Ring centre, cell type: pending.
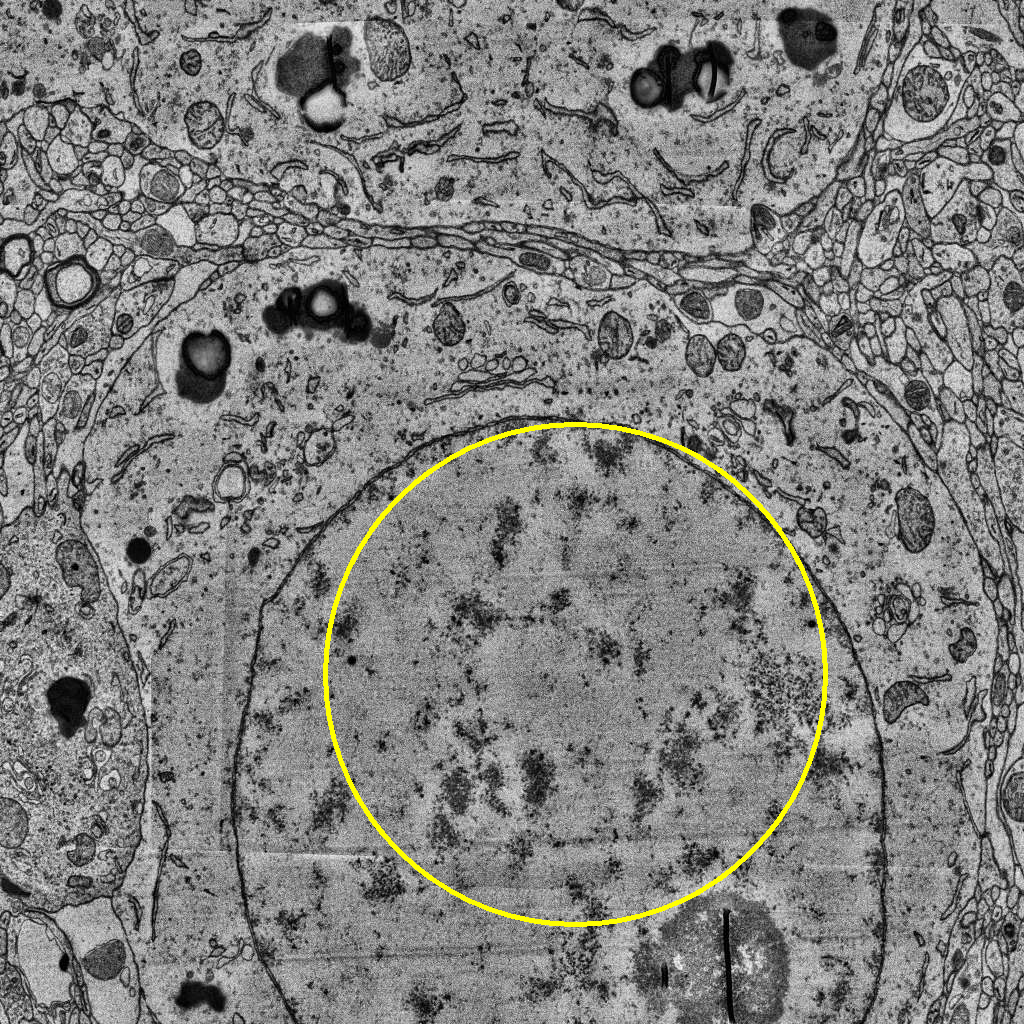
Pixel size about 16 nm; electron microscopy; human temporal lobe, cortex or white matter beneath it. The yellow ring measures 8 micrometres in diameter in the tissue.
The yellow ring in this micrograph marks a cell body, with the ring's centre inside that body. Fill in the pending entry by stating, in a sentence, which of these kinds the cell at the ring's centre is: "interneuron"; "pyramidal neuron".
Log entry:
The cell at the ring's centre is recorded as a pyramidal neuron.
